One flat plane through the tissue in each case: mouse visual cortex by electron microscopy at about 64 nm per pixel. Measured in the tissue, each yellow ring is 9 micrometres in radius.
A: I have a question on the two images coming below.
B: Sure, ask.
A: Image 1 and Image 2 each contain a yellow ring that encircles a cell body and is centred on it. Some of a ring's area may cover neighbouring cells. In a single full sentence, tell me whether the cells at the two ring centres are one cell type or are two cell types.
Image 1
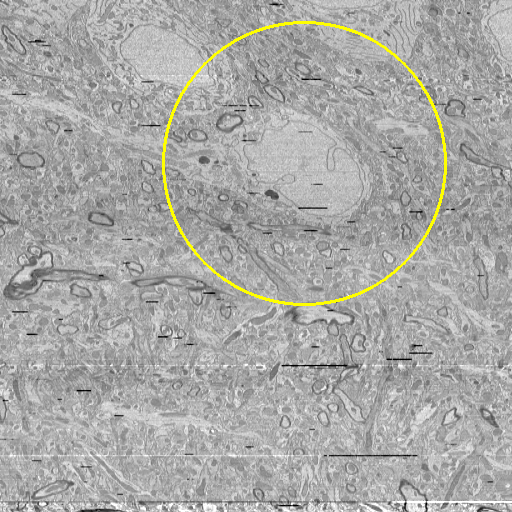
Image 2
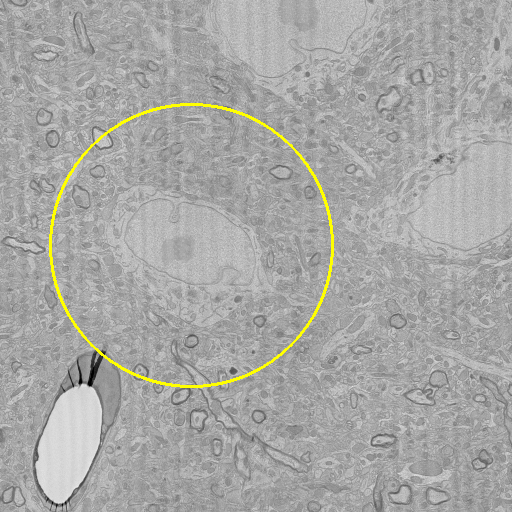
As for the ring-centre cells, the one in Image 1 and the one in Image 2 are one cell type.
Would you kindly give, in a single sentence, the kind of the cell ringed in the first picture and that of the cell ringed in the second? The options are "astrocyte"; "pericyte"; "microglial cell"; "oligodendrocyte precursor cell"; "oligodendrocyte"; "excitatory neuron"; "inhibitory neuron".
Each one of the two ringed cells is an excitatory neuron.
